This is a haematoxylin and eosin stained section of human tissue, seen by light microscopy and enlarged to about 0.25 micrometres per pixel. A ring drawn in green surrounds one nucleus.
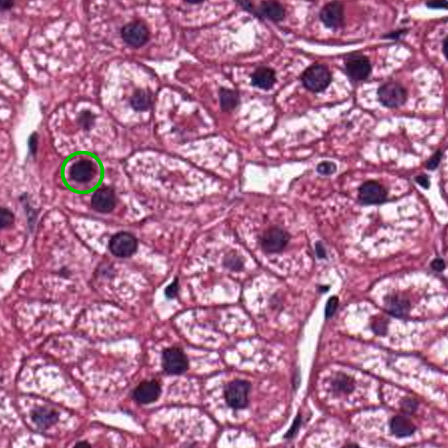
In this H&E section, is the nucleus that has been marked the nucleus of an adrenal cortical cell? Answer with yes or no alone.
yes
